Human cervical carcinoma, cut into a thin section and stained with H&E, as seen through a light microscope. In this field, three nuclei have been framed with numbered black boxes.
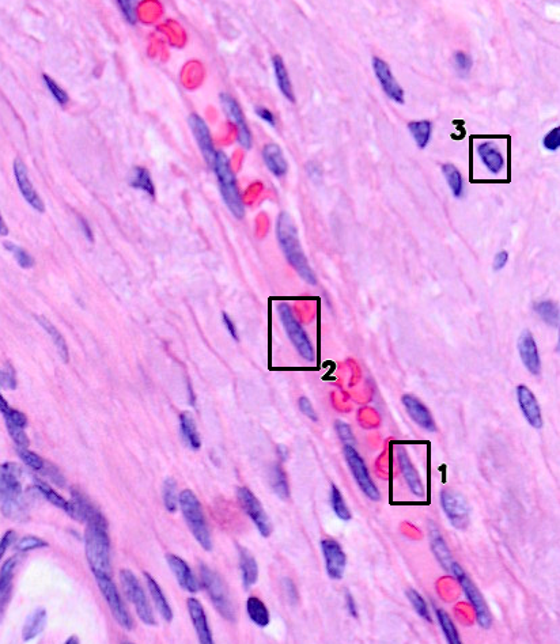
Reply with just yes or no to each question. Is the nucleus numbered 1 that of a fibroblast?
no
